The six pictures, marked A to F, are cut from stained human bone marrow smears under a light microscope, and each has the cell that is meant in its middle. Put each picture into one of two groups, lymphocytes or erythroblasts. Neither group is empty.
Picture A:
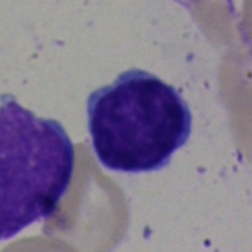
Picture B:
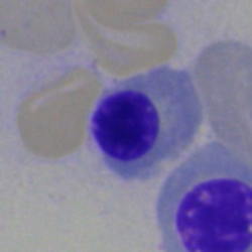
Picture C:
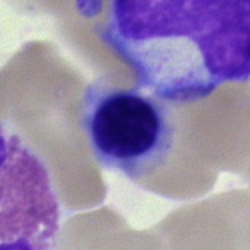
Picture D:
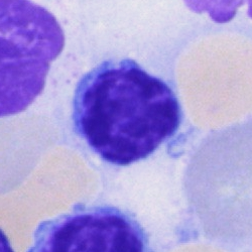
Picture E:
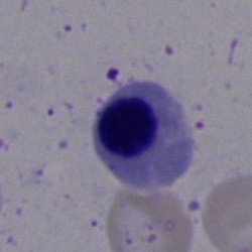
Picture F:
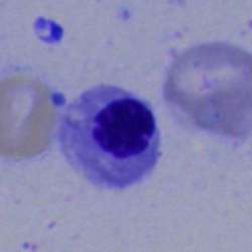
A: lymphocyte
B: erythroblast
C: erythroblast
D: lymphocyte
E: erythroblast
F: erythroblast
